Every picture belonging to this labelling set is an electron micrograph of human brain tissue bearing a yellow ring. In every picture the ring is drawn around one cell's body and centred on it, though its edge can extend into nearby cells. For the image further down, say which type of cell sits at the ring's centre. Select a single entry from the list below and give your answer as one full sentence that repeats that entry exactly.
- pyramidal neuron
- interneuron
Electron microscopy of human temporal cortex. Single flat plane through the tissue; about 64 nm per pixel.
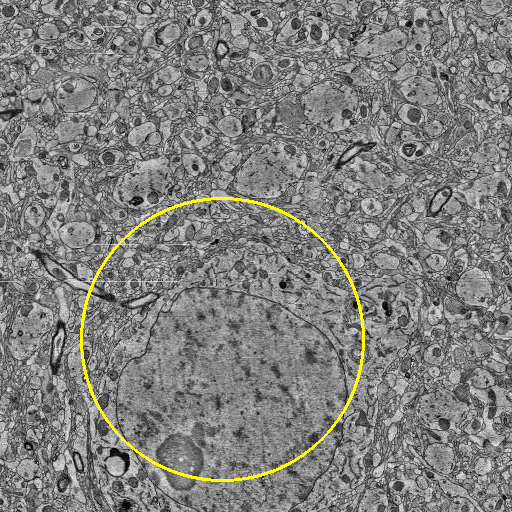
In the picture, a pyramidal neuron is the cell at the centre of the yellow ring.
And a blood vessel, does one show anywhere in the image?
No, there is no blood vessel.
